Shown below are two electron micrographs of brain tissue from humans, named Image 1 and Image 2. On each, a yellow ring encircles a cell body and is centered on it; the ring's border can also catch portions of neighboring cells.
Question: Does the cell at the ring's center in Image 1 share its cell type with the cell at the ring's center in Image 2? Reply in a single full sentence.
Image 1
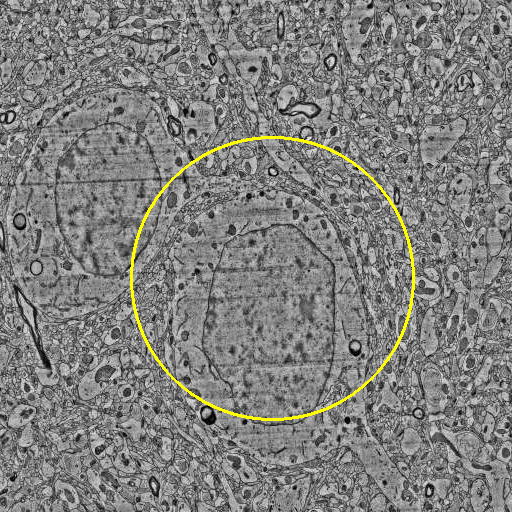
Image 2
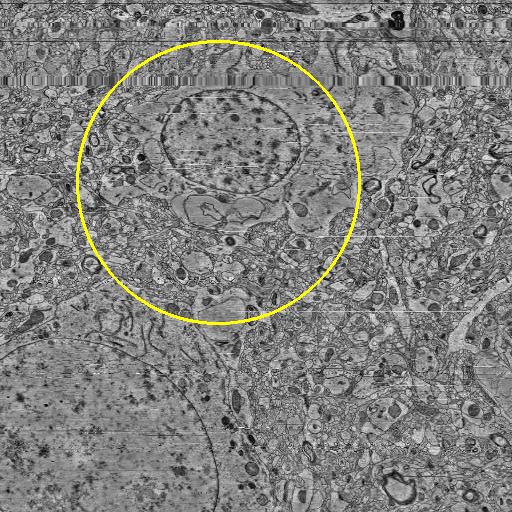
No, the two cells at the ring centers, in Image 1 and Image 2, are of two cell types.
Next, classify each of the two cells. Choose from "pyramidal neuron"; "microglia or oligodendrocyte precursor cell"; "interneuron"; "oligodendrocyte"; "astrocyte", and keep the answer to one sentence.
In the first picture it is a pyramidal neuron; in the second it is an astrocyte.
